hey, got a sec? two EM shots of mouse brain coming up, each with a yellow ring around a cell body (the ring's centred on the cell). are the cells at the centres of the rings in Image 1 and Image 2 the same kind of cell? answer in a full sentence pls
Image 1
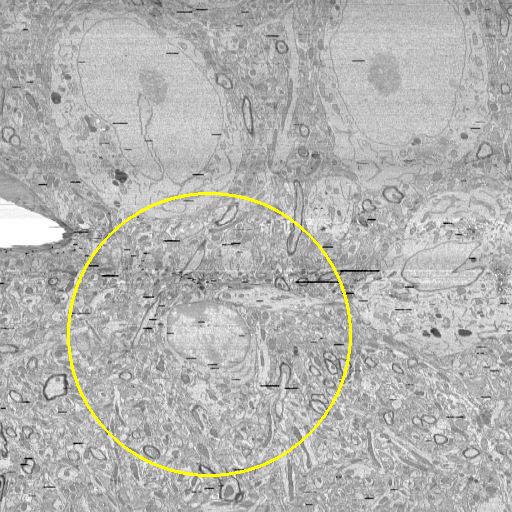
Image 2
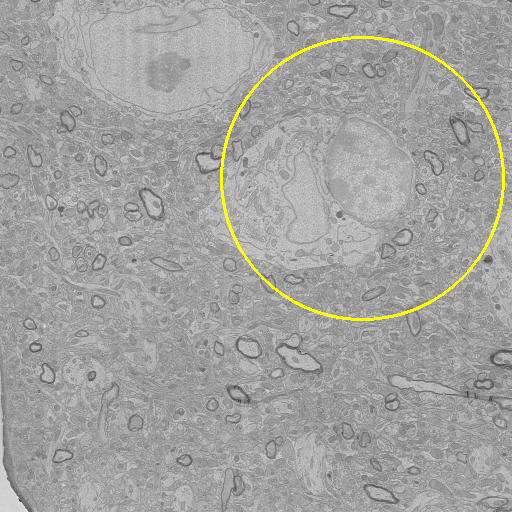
Yes, both are the same kind of cell.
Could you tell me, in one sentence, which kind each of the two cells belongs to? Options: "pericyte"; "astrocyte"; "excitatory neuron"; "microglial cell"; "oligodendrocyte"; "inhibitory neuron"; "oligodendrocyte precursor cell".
Each of the two pictures has an oligodendrocyte at the ring centre.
